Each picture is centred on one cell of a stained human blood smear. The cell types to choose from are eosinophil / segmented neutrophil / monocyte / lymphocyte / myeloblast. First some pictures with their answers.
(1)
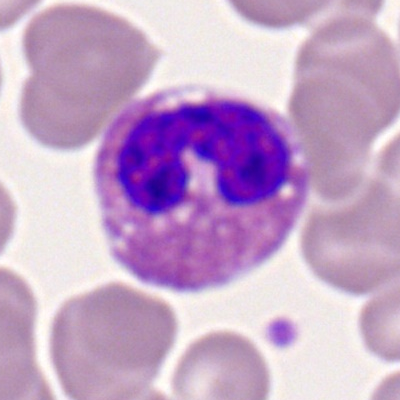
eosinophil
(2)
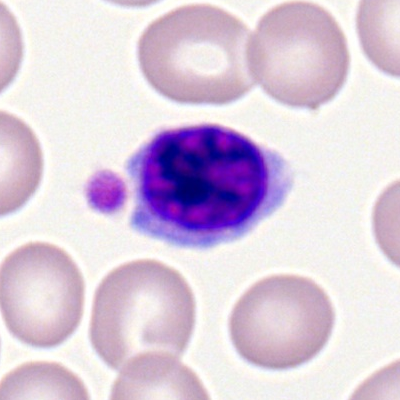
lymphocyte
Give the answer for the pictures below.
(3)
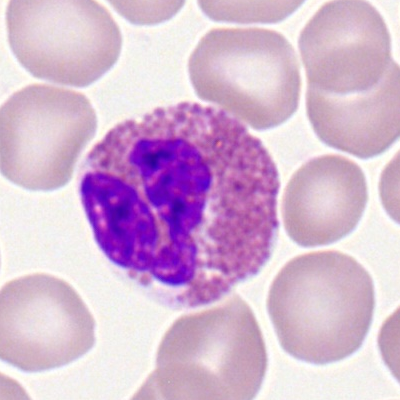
eosinophil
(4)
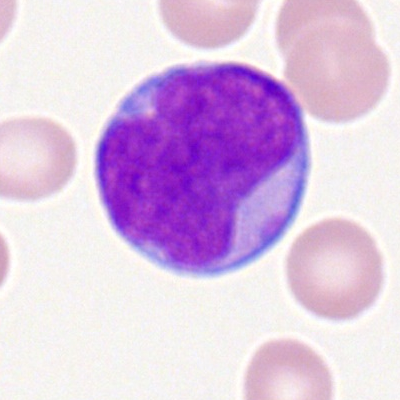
myeloblast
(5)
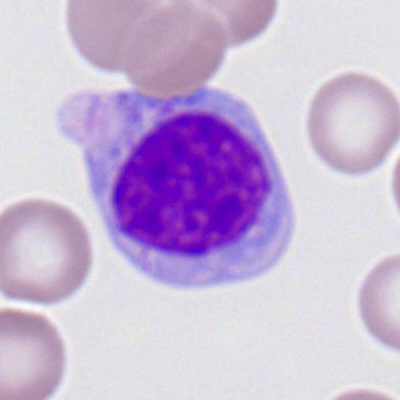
monocyte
